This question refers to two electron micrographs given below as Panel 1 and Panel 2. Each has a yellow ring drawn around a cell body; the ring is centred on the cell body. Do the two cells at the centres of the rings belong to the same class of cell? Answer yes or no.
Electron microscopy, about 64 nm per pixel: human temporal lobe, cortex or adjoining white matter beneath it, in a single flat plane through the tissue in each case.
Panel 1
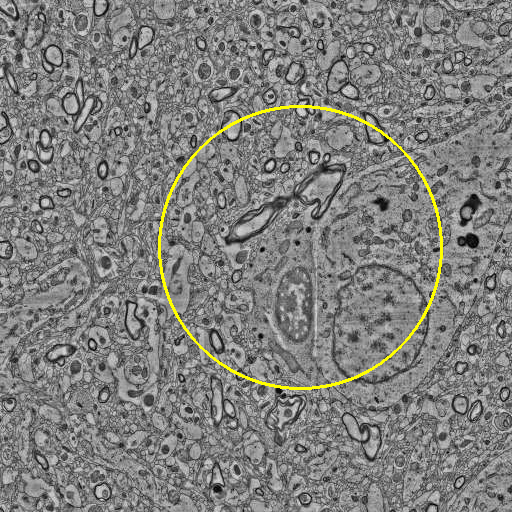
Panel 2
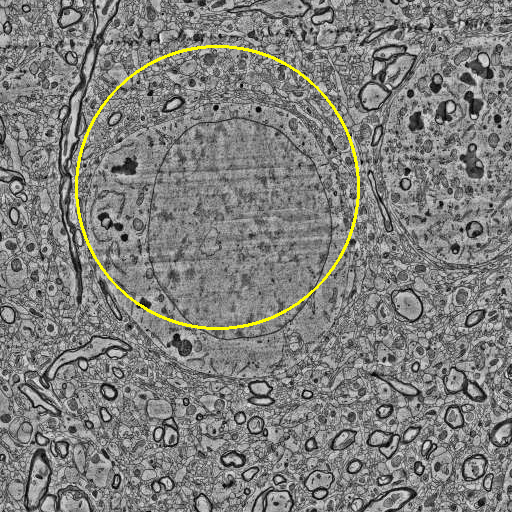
no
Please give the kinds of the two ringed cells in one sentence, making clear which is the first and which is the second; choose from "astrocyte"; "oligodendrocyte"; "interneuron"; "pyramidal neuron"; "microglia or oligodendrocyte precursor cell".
In the second picture the ringed cell is a pyramidal neuron; in the first it is an oligodendrocyte.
